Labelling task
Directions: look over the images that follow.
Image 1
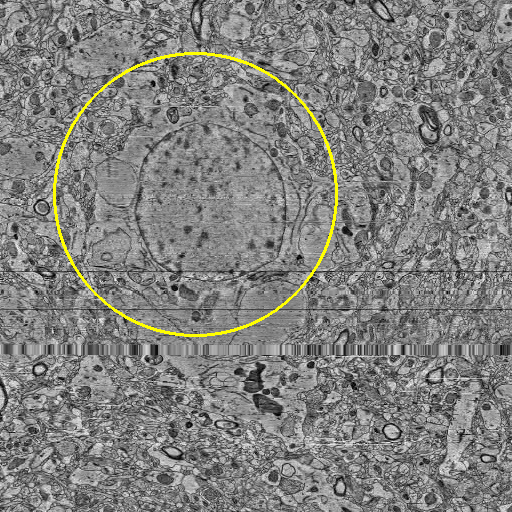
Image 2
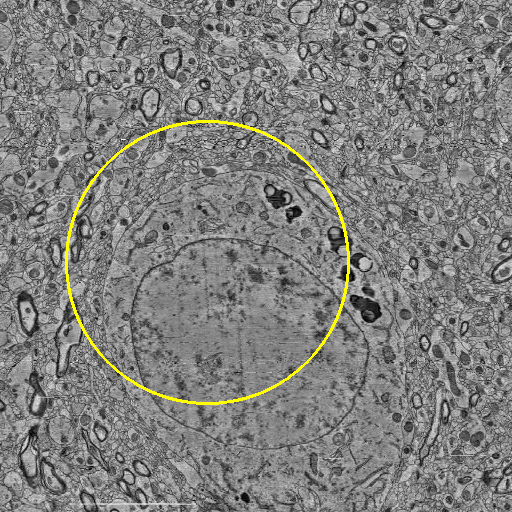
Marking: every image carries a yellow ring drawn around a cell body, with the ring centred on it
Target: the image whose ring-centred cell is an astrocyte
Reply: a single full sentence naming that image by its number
The requested cell sits at the ring's centre in Image 1.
